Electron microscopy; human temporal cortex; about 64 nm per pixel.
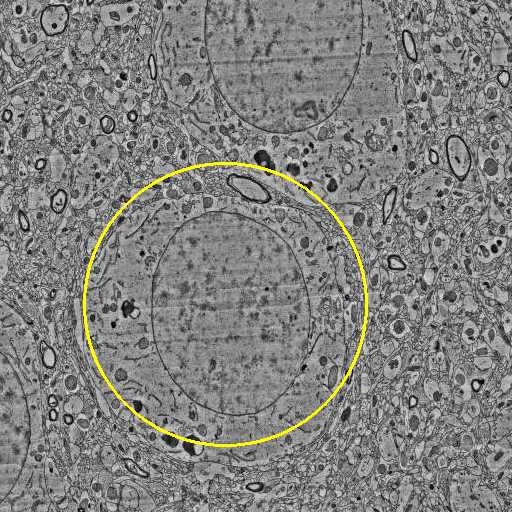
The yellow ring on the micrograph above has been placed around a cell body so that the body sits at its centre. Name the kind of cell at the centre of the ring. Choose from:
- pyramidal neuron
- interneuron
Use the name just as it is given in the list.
pyramidal neuron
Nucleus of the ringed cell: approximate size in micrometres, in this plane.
The nucleus works out at approximately 13 by 10 micrometres in this plane.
